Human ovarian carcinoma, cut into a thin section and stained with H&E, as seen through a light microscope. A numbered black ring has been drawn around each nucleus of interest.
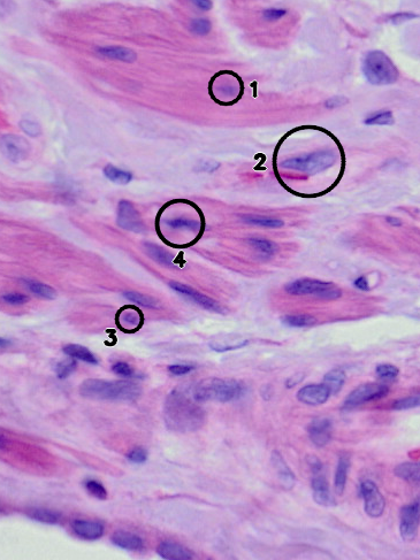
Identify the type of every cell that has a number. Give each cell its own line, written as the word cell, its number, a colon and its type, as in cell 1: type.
cell 1: smooth muscle cell
cell 2: endothelial cell
cell 3: smooth muscle cell
cell 4: smooth muscle cell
